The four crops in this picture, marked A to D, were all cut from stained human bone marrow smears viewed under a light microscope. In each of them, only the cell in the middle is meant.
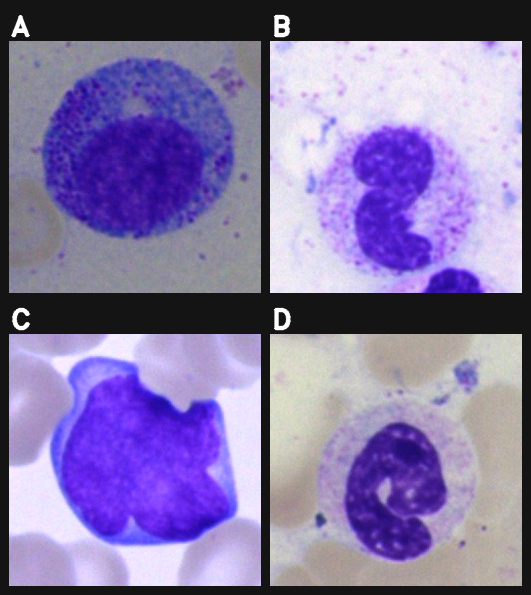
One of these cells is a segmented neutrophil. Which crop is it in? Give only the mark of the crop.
D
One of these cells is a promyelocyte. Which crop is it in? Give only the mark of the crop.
A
